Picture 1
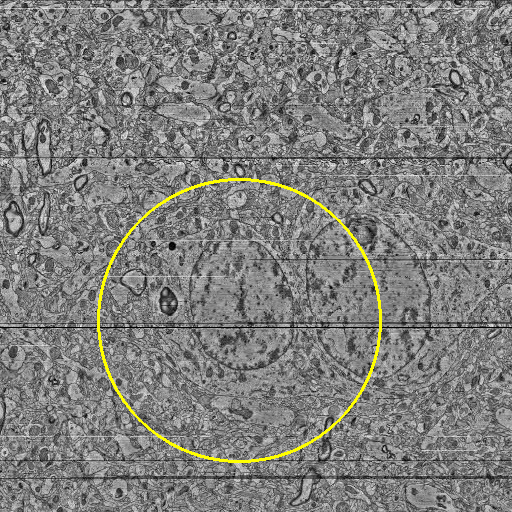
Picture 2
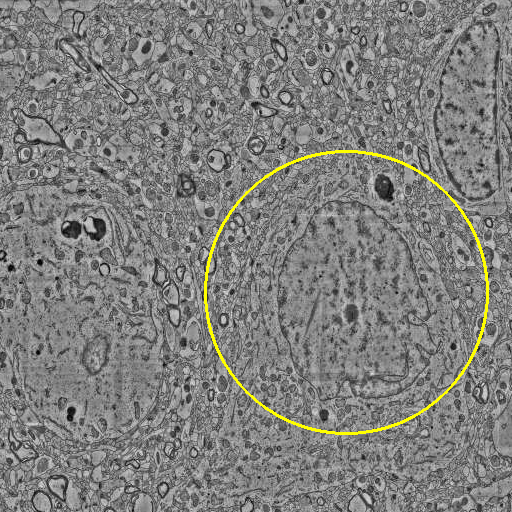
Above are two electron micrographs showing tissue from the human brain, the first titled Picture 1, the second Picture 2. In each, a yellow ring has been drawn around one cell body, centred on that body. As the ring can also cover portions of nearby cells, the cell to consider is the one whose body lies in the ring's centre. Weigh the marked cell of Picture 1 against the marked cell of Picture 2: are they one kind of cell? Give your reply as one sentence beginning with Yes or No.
No, the two cells sitting at the ring centres in the pictures are of two kinds.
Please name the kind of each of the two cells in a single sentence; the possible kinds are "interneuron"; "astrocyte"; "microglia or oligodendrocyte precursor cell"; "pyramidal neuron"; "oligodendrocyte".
In the first picture the ring is centred on a pyramidal neuron, and in the second on an interneuron.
